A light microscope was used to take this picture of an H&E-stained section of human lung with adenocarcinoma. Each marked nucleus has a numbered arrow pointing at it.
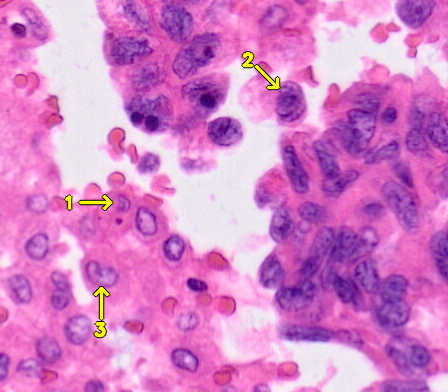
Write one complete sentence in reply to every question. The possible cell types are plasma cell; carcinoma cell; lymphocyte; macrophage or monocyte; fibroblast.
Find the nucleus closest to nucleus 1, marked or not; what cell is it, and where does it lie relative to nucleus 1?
It is a macrophage or monocyte, whose nucleus lies below and to the right of nucleus 1.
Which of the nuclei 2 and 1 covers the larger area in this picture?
Nucleus 2 is larger, with an area about 3 times that of nucleus 1.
